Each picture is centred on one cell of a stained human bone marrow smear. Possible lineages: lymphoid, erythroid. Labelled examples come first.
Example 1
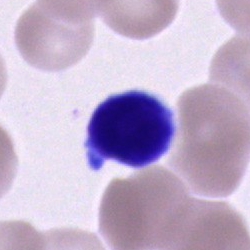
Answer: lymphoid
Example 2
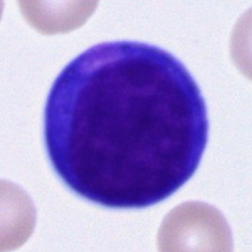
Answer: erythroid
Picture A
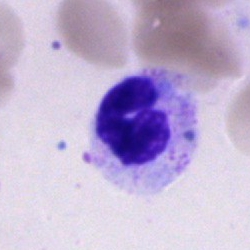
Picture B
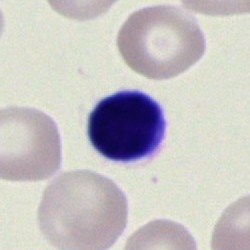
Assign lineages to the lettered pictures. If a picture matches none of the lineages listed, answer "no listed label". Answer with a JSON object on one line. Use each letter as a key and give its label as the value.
{"A": "no listed label", "B": "lymphoid"}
